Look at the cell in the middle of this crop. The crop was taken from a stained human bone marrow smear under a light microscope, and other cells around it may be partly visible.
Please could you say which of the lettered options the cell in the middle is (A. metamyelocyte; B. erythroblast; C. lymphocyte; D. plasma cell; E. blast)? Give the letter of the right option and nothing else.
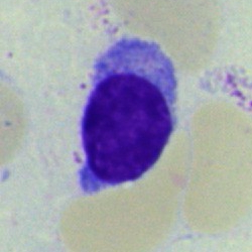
C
